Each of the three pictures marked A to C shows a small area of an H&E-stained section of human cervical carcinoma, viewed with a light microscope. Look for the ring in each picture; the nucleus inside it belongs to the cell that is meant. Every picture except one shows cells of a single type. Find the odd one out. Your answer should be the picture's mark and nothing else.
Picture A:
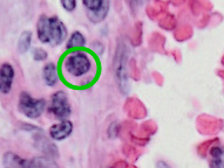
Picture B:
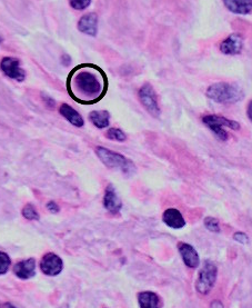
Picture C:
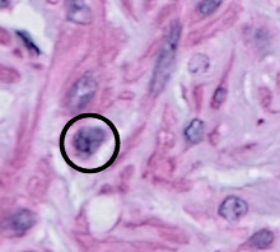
C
